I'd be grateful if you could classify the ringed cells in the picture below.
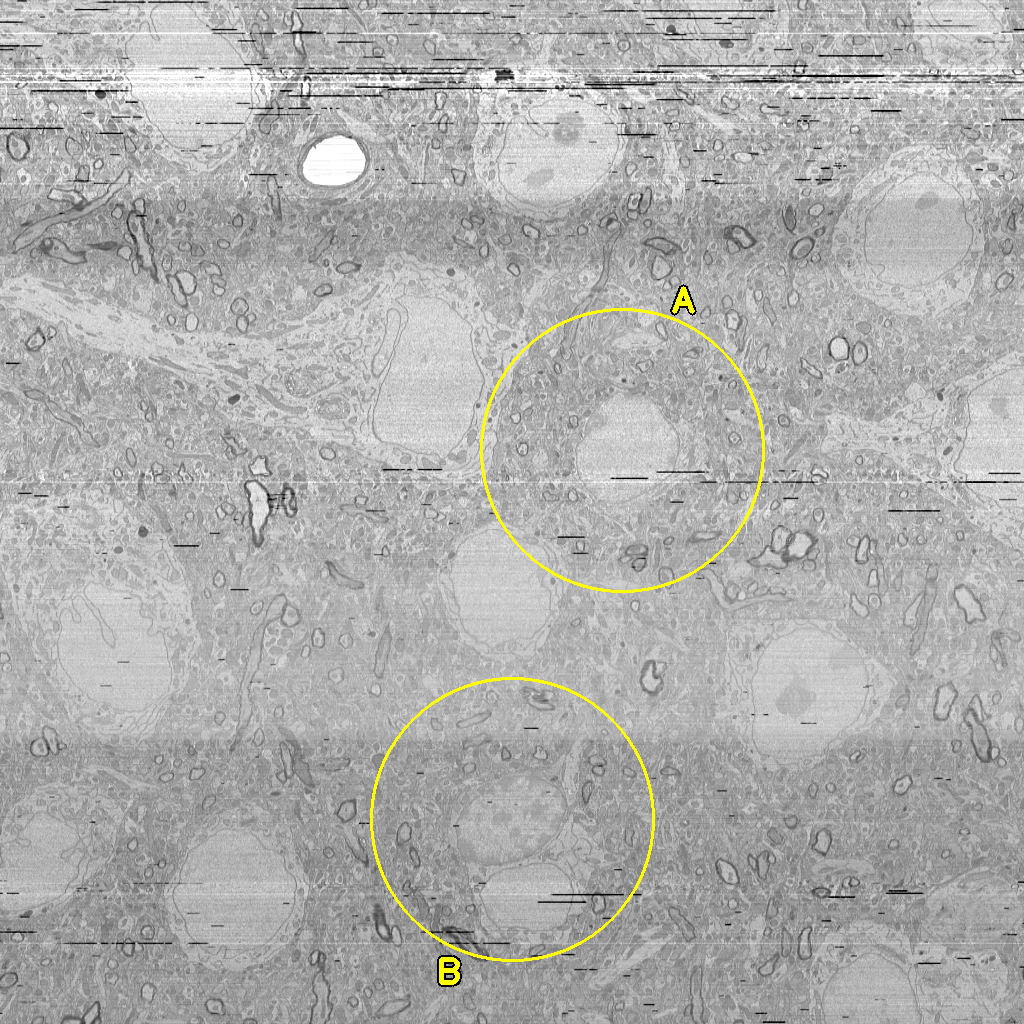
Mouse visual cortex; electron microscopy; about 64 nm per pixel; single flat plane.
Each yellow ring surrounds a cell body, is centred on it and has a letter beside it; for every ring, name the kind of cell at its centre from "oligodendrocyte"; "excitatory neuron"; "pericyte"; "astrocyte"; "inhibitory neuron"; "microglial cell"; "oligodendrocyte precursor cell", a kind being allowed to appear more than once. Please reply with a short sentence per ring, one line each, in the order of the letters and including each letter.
In ring A we have an astrocyte.
In ring B we have an oligodendrocyte.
